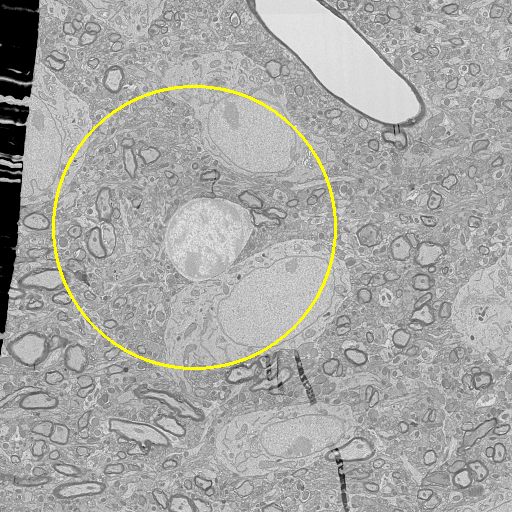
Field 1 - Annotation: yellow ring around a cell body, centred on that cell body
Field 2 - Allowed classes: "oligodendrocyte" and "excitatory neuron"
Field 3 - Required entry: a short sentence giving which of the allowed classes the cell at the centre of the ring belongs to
The centred cell is an oligodendrocyte.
